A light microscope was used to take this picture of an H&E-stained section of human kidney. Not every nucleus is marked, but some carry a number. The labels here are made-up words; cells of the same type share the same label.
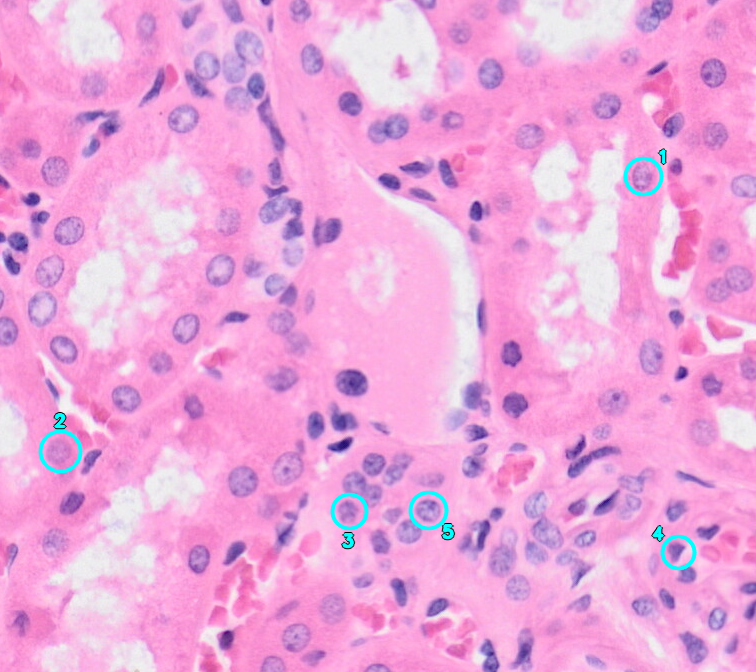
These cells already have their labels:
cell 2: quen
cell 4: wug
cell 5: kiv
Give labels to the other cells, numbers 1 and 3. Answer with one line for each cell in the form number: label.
1: quen
3: kiv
